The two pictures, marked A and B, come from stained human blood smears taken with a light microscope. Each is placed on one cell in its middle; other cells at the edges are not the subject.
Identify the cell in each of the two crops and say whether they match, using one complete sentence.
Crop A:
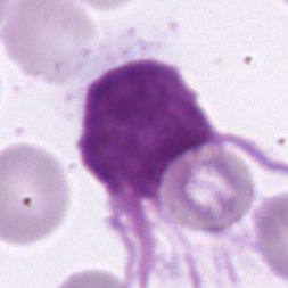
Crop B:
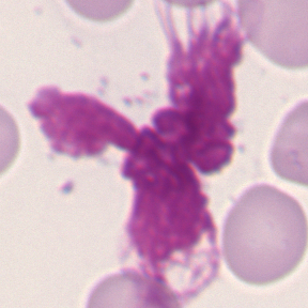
Yes, the first and the second crop both show smudge cells.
